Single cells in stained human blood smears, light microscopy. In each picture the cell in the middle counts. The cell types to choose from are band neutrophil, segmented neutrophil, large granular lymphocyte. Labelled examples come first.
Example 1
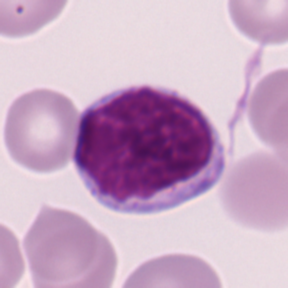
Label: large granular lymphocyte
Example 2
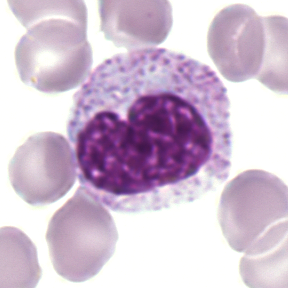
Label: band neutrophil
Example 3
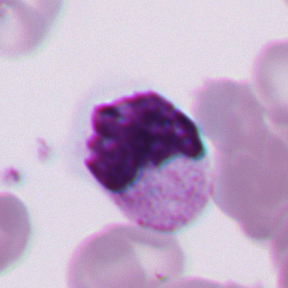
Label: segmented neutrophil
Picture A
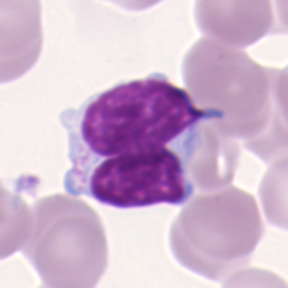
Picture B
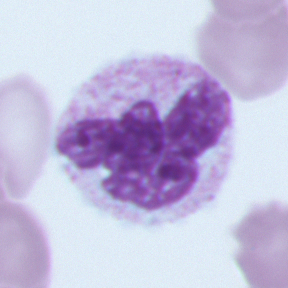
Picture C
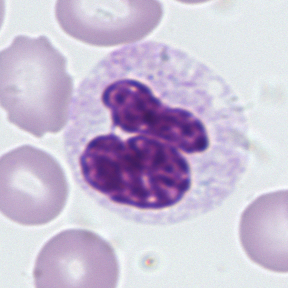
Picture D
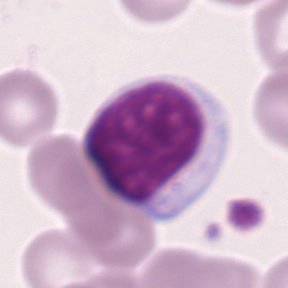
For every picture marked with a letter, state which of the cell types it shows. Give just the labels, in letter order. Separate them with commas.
large granular lymphocyte, segmented neutrophil, segmented neutrophil, large granular lymphocyte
